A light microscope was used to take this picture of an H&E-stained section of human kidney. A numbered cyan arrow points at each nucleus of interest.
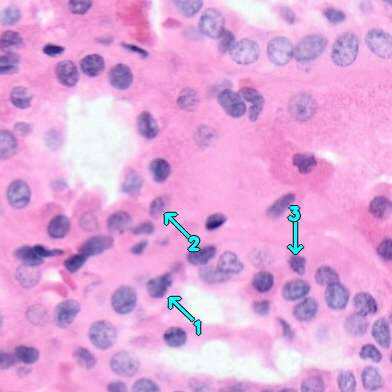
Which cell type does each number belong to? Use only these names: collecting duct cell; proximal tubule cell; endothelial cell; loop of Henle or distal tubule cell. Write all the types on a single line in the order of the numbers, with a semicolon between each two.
collecting duct cell; loop of Henle or distal tubule cell; collecting duct cell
